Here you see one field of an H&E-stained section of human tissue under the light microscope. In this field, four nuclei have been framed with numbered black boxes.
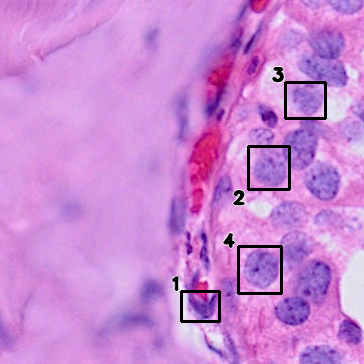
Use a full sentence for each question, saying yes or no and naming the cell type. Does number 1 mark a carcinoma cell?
No, what number 1 shows is an endothelial cell, not a carcinoma cell.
